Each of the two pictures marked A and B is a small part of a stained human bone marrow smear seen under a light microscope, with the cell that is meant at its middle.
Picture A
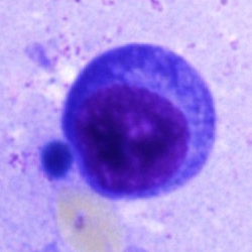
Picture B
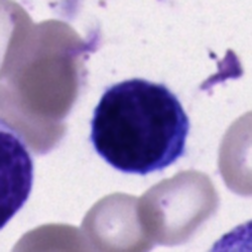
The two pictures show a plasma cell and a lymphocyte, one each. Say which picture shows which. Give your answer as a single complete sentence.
Picture A shows a plasma cell and picture B shows a lymphocyte.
